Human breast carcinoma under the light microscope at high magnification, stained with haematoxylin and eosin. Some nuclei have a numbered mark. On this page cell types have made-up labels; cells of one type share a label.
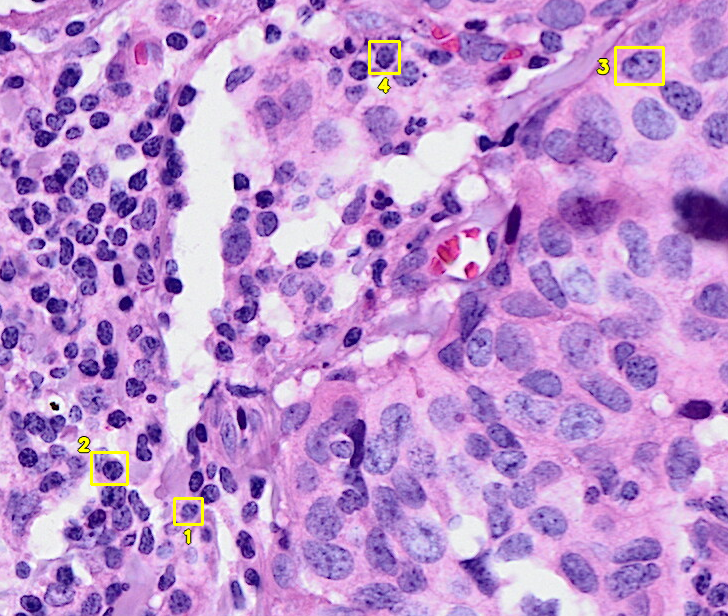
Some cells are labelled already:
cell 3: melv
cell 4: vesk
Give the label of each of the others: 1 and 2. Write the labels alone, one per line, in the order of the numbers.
vesk
vesk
